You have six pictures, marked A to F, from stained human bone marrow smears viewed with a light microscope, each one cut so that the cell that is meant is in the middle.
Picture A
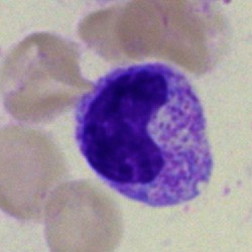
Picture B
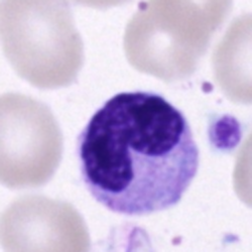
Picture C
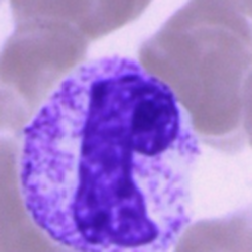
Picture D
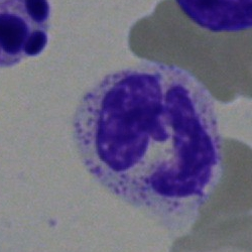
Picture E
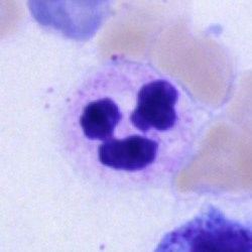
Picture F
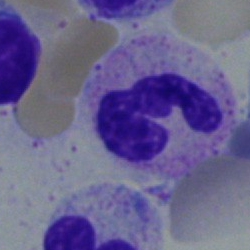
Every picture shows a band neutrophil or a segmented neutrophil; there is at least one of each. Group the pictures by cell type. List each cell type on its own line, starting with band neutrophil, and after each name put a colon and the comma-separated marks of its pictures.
band neutrophil: A, B, C, F
segmented neutrophil: D, E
